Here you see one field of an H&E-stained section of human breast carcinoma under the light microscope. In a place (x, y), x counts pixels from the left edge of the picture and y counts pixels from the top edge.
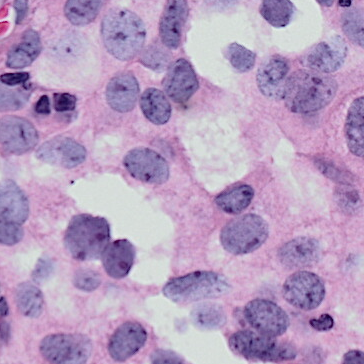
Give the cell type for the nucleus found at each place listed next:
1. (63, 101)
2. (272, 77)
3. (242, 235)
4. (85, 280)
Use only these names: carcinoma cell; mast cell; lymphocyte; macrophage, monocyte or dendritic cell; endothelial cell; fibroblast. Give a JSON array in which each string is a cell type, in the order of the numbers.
["lymphocyte", "carcinoma cell", "carcinoma cell", "carcinoma cell"]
